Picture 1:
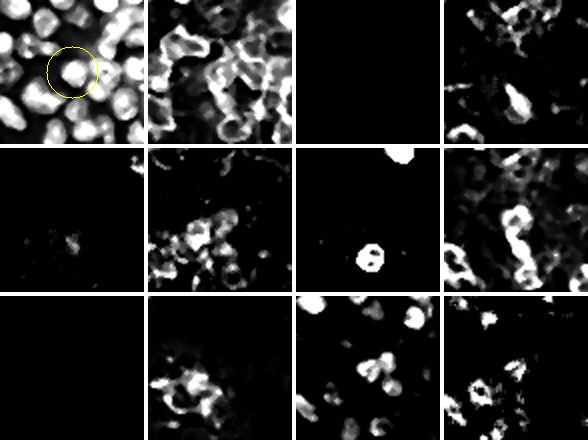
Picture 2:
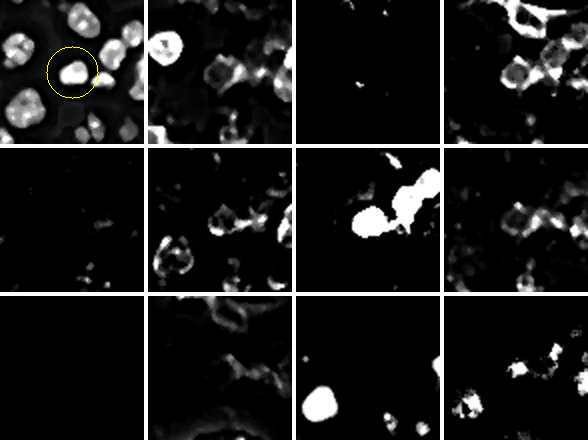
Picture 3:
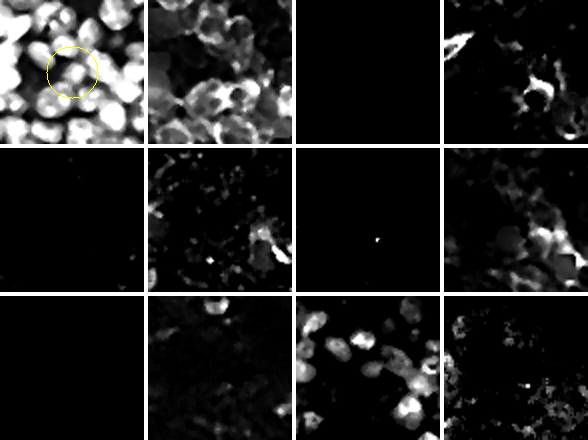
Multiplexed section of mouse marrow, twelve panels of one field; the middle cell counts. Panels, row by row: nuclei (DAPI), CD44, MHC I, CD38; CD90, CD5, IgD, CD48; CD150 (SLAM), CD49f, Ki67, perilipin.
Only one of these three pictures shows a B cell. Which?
Picture 2.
